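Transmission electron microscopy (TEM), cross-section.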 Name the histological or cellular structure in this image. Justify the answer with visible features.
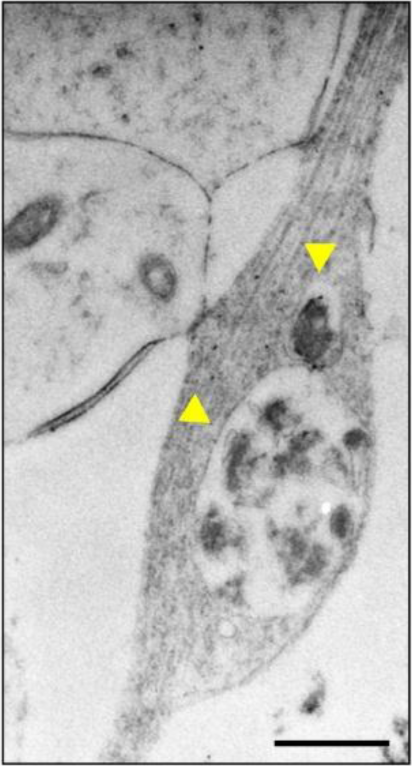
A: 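A bulging cell process bounded by a membrane. Large membrane-bound organelles with dark contents lie within the bulge. So: neuritic swelling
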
